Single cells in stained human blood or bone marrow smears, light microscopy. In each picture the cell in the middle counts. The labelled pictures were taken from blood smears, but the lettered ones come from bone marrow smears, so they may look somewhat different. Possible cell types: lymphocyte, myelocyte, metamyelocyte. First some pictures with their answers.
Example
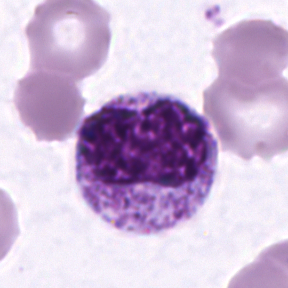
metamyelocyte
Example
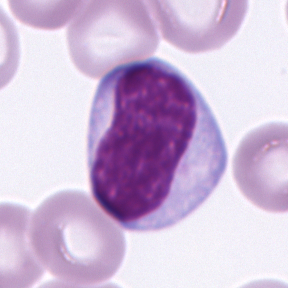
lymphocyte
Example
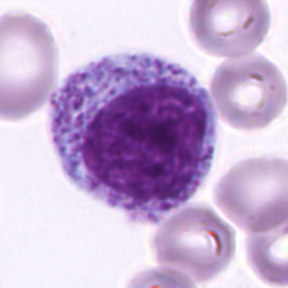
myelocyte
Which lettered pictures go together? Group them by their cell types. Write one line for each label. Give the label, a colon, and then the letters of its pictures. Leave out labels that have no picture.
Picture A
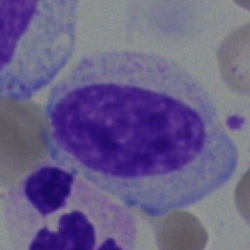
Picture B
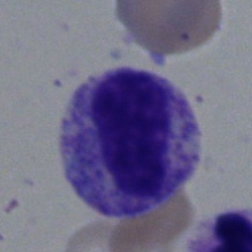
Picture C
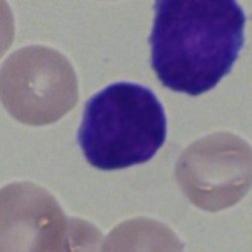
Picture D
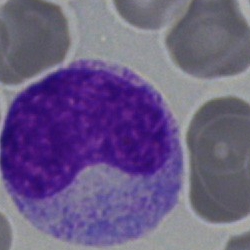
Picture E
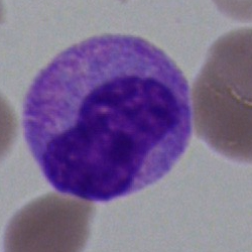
lymphocyte: C
myelocyte: A
metamyelocyte: B, D, E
